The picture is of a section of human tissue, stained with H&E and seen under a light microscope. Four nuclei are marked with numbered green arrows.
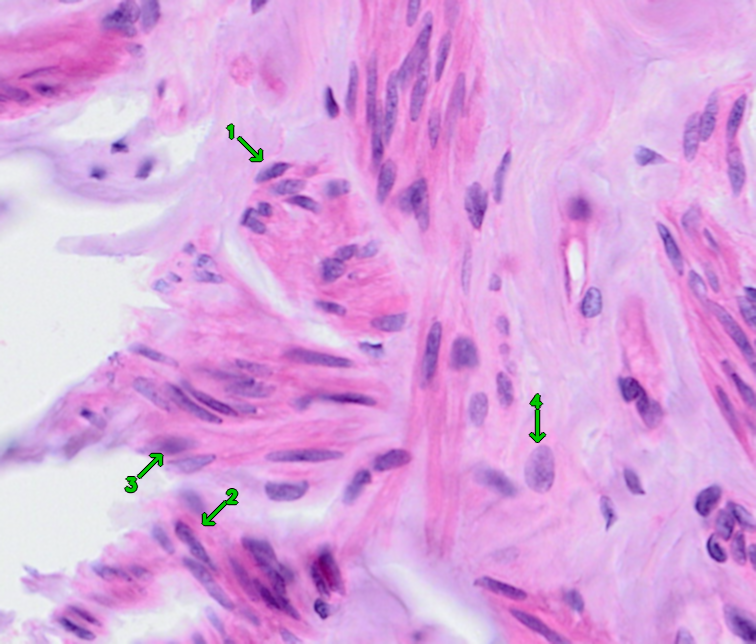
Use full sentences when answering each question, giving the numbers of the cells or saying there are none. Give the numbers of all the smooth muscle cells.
The cells with labels 1, 2 and 3 are smooth muscle cells.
